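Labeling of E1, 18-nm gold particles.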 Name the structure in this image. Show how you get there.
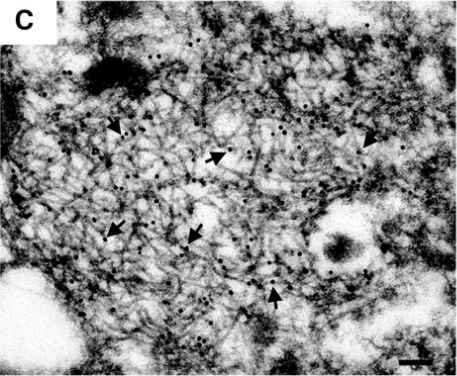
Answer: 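Well-formed filaments. Many distinct thin straight filaments run in various directions. Small black dots are scattered along the filaments.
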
